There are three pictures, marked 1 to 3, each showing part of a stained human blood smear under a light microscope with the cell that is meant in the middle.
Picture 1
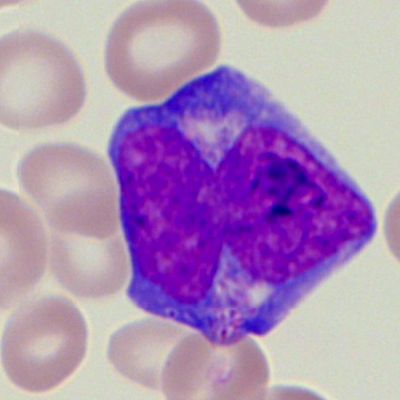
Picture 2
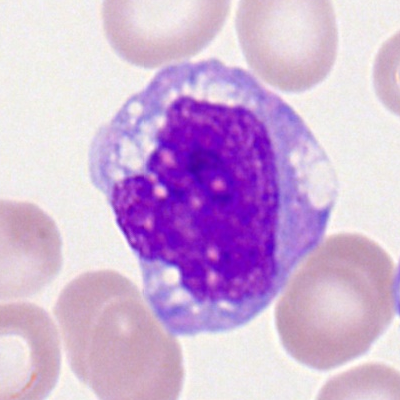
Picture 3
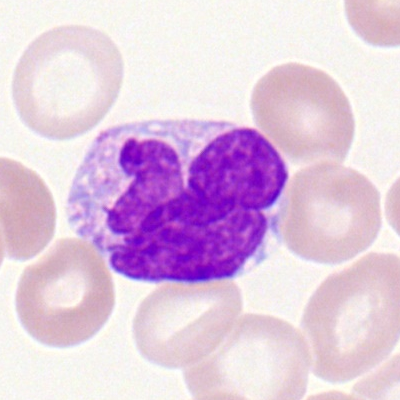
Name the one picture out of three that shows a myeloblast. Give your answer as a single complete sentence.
Picture 1 shows the myeloblast.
